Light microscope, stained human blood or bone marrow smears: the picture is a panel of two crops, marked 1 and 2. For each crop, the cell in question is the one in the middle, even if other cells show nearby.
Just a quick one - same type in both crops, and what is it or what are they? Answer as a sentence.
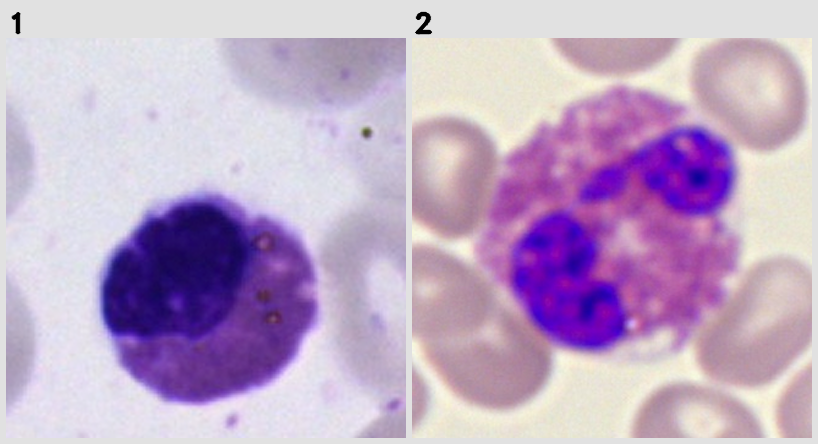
Yes, both crops show eosinophils as their central cells.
